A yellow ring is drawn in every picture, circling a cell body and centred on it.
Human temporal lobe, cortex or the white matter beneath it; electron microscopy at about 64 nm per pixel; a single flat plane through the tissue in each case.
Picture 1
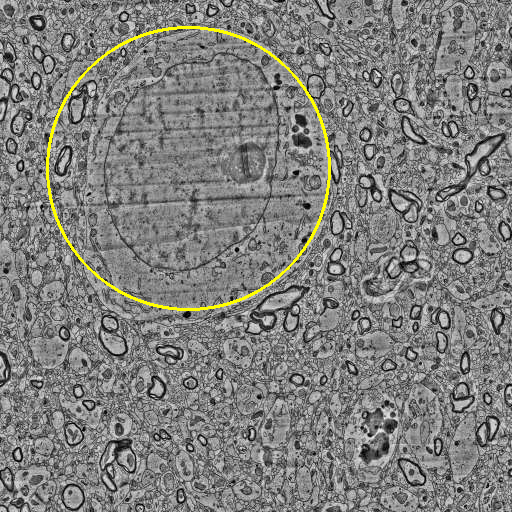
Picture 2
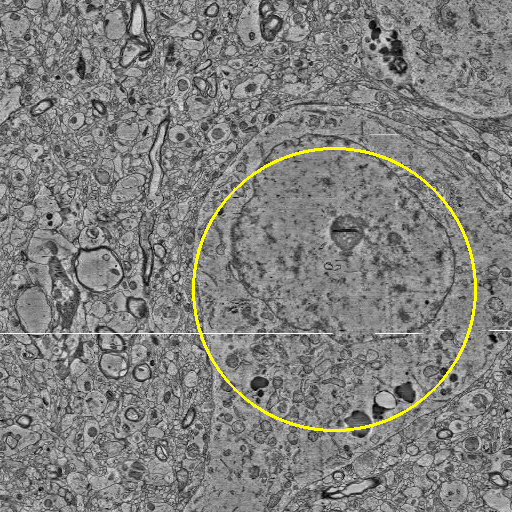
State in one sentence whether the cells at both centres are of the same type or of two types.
The cells at the two ring centres, one per picture, are of the same type.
